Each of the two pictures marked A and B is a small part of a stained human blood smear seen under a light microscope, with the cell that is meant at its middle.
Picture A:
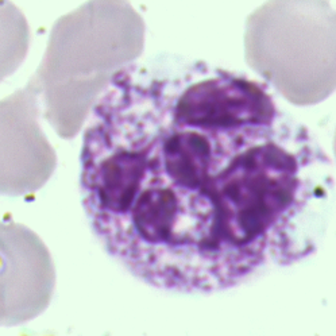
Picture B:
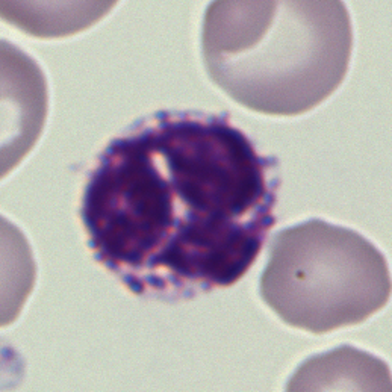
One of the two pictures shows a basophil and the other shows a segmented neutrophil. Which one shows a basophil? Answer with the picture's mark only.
B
